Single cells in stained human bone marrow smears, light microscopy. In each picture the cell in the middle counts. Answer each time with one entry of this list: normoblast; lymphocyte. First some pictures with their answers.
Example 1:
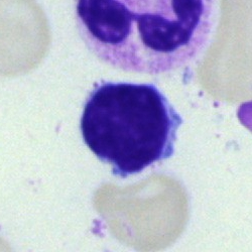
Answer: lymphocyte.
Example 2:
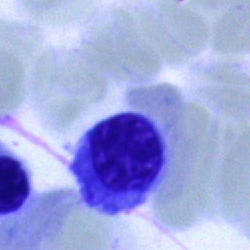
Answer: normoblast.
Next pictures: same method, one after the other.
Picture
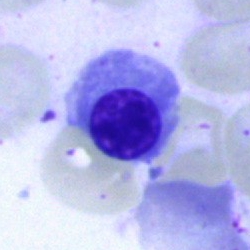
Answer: normoblast.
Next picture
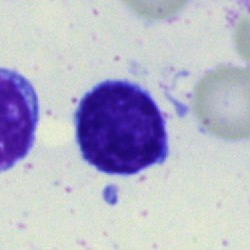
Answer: lymphocyte.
